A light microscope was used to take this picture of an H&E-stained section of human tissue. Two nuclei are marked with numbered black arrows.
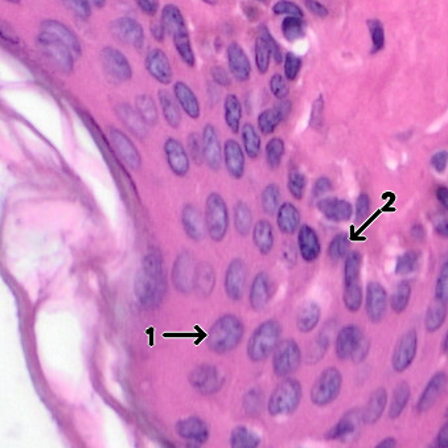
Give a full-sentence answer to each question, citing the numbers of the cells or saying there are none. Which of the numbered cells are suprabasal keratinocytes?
Cell 1 is a suprabasal keratinocyte; the remaining numbered cells are not.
